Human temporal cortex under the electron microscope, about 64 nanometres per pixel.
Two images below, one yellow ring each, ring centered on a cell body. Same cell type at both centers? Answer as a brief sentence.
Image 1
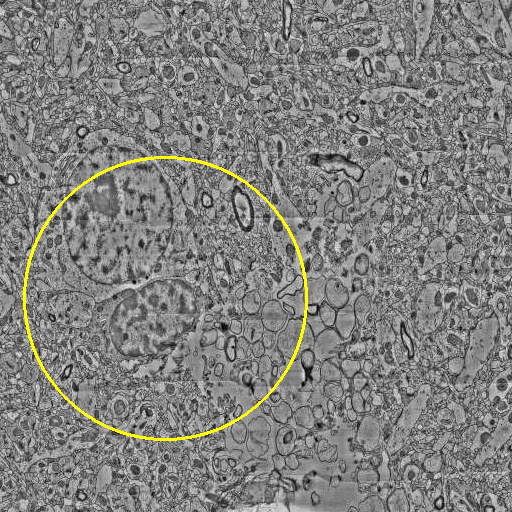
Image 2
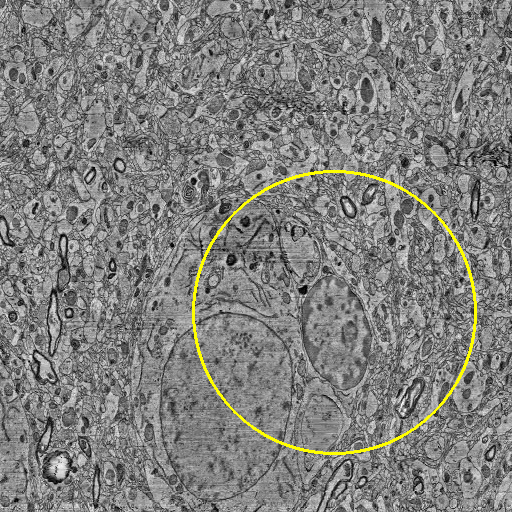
No, the cells are of two separate types.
